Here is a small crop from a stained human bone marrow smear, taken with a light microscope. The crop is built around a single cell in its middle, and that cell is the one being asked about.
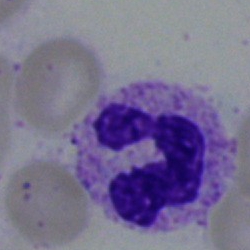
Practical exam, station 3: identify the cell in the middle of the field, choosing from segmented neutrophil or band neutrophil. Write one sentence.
Standing at the centre of this crop is a segmented neutrophil.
